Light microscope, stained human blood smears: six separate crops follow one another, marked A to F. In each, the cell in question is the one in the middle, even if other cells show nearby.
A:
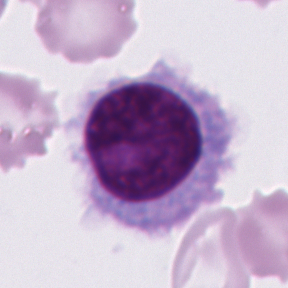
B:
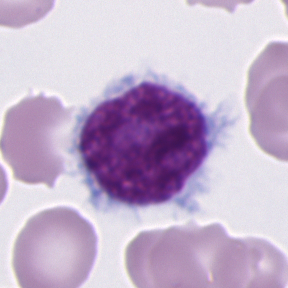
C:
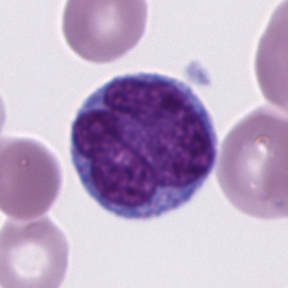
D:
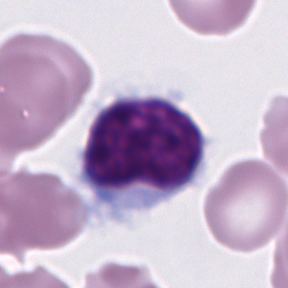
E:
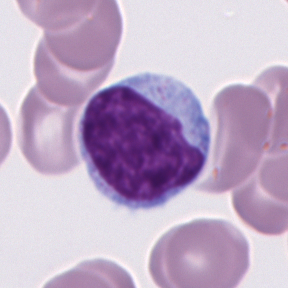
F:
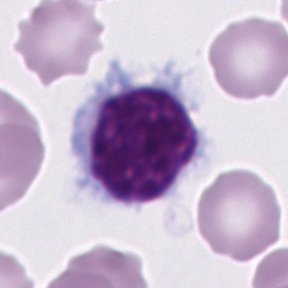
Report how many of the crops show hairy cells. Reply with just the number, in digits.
4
